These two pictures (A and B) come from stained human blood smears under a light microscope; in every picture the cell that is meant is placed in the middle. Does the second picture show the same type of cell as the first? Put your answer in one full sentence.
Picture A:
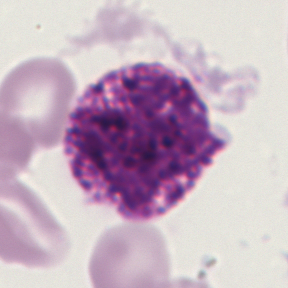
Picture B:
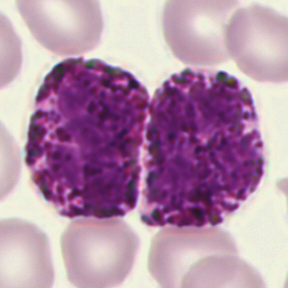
Yes, both cells are basophils.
